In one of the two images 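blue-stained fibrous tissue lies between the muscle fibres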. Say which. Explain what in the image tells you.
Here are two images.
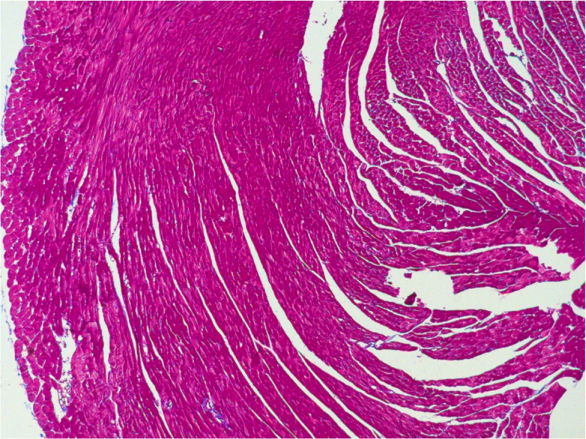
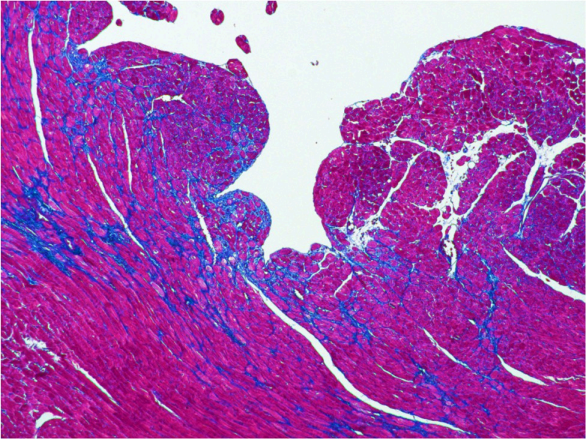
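Second image: many blue strands and patches between the red muscle fibres. First image: red muscle fibres with hardly any blue between them. The answer: the second image.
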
